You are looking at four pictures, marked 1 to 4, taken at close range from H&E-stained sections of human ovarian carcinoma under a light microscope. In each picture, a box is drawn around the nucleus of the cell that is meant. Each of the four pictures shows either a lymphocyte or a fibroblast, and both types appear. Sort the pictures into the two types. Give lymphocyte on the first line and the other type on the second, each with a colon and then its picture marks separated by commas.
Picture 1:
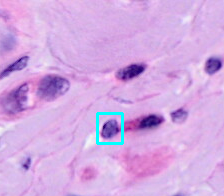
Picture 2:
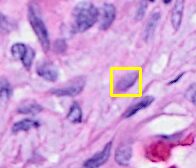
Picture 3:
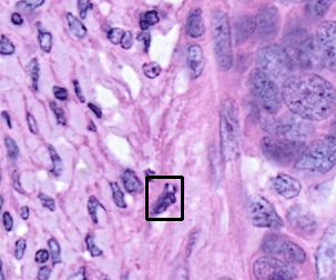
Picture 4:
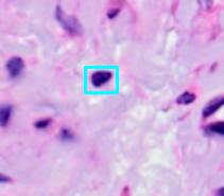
lymphocyte: 1, 3, 4
fibroblast: 2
